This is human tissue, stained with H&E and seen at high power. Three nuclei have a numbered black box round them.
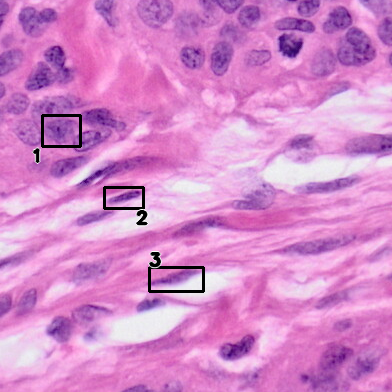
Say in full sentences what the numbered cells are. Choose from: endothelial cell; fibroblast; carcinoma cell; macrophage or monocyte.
Cell 1 is a carcinoma cell. Cells 2 and 3 are fibroblasts.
